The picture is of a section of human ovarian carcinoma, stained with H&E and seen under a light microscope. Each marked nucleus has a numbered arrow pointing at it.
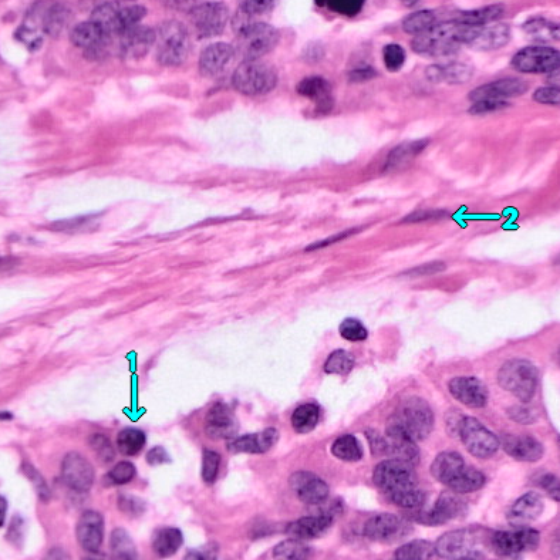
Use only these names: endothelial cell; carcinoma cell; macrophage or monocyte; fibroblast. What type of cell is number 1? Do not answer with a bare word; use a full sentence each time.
In the tissue shown, cell 1 is a carcinoma cell.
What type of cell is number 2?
The cell to which the number 2 is assigned is a fibroblast.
